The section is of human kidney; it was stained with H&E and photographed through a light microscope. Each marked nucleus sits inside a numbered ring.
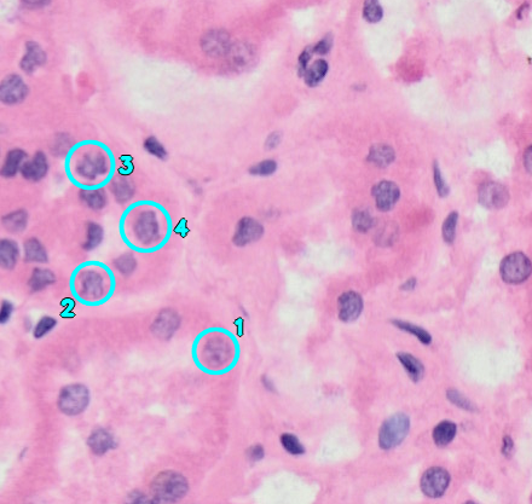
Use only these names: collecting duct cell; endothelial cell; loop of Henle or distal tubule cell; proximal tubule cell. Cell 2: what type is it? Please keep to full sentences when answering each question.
The cell identified by the number 2 is a loop of Henle or distal tubule cell.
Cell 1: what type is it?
As for number 1, that cell is a proximal tubule cell.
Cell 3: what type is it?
The cell indicated with the number 3 is classed as a loop of Henle or distal tubule cell.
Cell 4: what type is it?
Heads up, the cell numbered 4 is a loop of Henle or distal tubule cell.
